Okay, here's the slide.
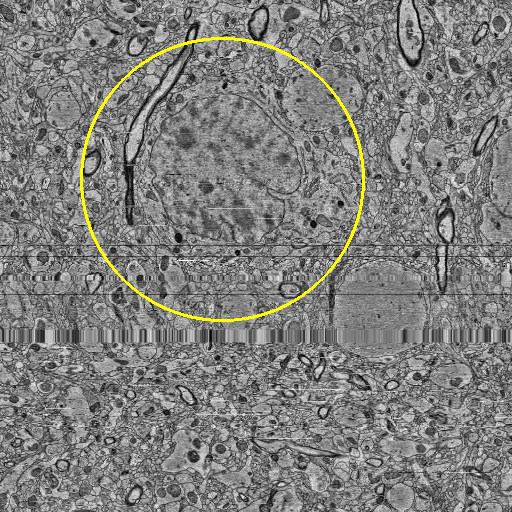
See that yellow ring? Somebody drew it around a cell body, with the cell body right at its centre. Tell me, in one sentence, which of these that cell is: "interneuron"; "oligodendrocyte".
The cell in the middle of the ring is an interneuron.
